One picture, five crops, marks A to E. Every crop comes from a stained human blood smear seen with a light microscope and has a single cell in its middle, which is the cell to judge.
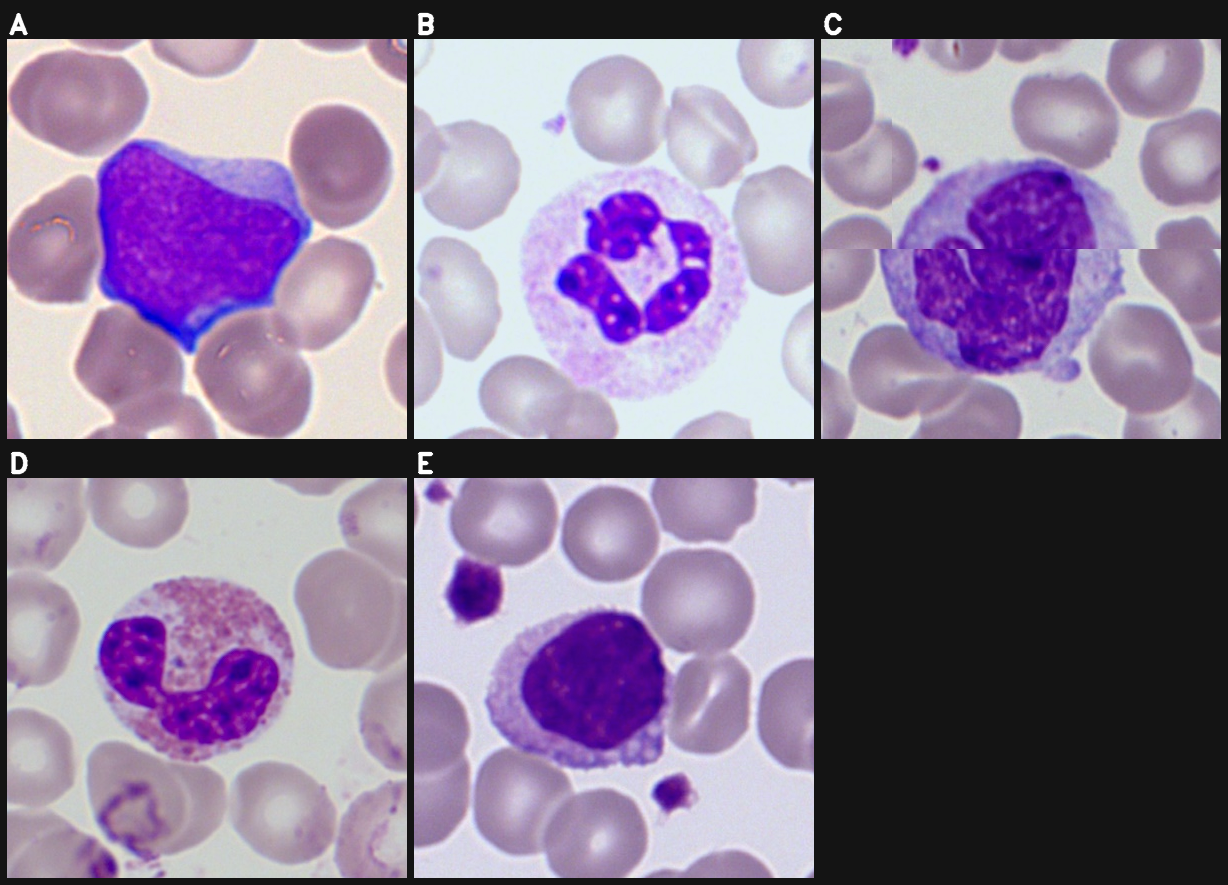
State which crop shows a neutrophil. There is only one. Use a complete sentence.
Crop B, and no other, is the one that shows a neutrophil.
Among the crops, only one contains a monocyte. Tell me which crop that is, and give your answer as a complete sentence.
Selected crop: C, which is the one that shows a monocyte.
